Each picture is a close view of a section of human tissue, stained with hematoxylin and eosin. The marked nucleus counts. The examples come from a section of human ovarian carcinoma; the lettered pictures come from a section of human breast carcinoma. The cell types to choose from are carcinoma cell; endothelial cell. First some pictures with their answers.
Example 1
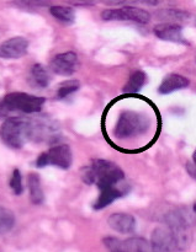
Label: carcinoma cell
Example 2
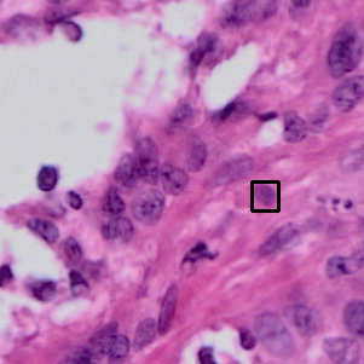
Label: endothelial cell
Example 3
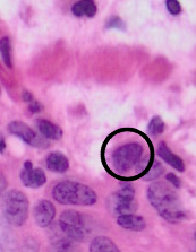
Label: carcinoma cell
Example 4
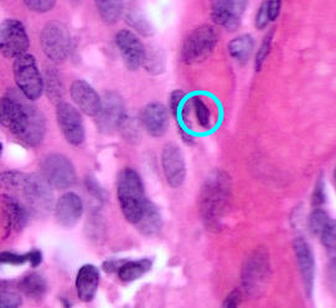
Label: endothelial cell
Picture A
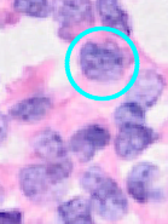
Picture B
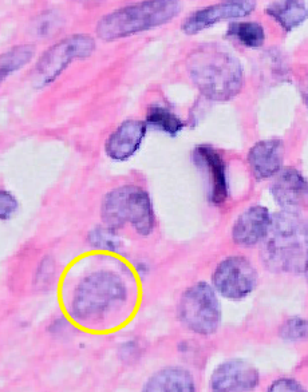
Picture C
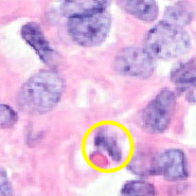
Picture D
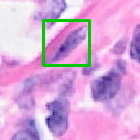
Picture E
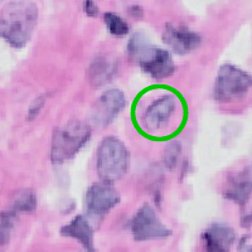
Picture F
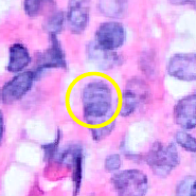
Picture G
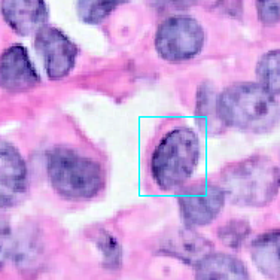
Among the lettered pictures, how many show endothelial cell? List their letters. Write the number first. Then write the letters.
Count: 3 (C, D, E)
